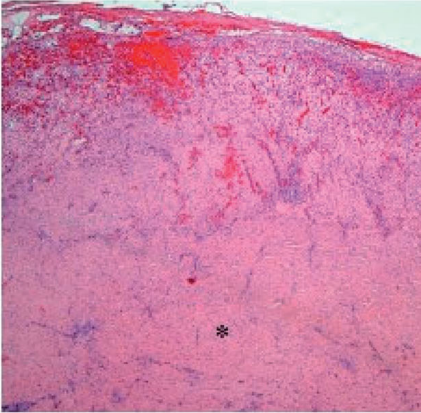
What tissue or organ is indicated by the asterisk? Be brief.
Dense fibrous stroma.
